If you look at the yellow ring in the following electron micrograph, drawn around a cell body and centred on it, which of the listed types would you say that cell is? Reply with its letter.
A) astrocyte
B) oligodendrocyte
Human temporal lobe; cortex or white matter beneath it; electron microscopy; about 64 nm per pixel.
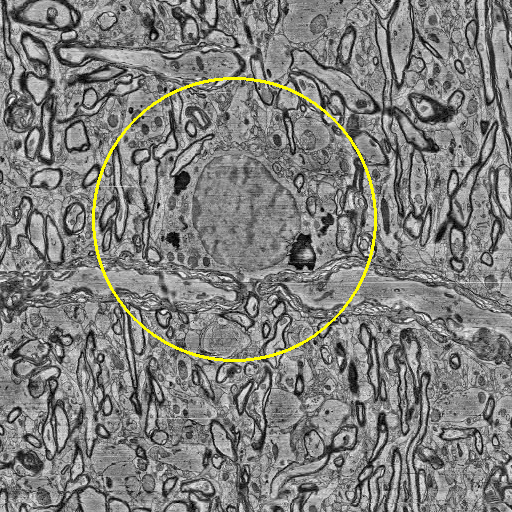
B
